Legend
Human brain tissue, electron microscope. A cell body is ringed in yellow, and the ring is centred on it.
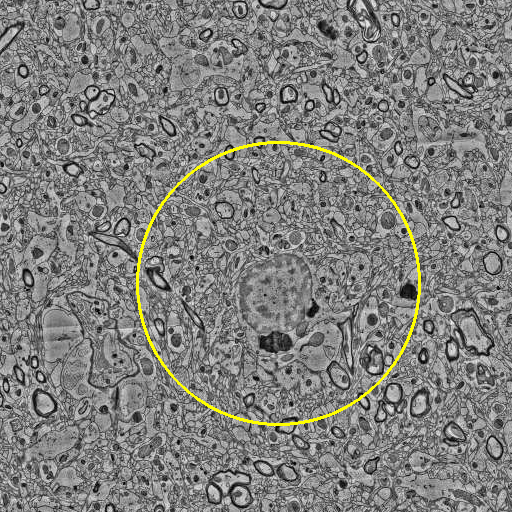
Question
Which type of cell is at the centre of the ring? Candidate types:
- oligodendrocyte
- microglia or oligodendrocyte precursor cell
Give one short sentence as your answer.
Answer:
The yellow ring is centred here on an oligodendrocyte.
